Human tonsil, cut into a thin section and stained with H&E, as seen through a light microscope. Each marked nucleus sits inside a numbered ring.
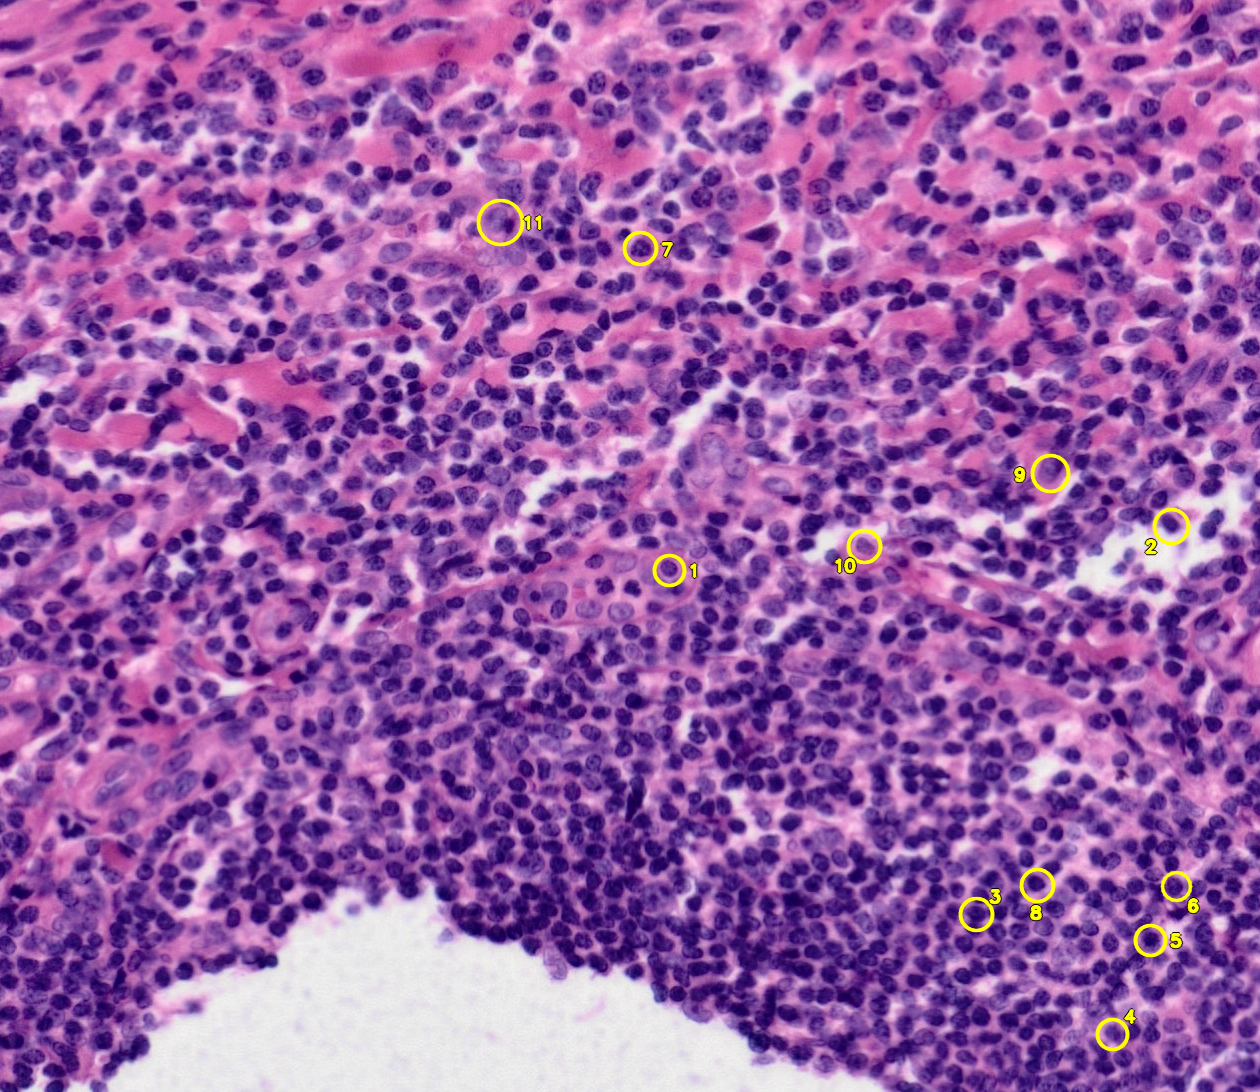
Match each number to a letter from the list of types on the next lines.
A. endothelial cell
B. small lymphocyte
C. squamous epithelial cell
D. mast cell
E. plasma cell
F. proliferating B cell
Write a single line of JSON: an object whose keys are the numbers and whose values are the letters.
{"1": "A", "2": "B", "3": "B", "4": "B", "5": "B", "6": "B", "7": "E", "8": "B", "9": "A", "10": "A", "11": "A"}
